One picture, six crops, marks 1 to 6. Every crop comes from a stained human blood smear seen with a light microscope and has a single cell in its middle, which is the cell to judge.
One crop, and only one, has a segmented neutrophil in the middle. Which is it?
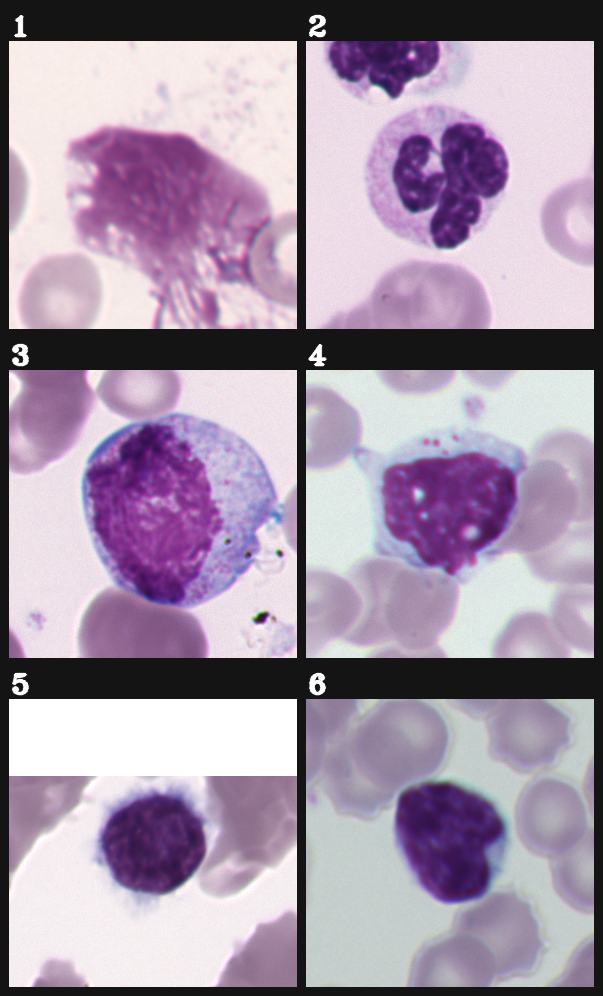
2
